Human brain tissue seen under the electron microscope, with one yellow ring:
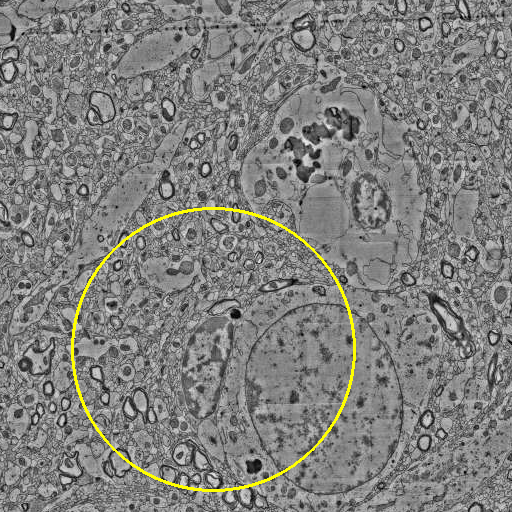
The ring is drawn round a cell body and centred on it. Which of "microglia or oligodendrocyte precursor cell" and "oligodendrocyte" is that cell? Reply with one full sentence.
The picture shows a microglial cell or oligodendrocyte precursor cell at the very centre of the yellow ring.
